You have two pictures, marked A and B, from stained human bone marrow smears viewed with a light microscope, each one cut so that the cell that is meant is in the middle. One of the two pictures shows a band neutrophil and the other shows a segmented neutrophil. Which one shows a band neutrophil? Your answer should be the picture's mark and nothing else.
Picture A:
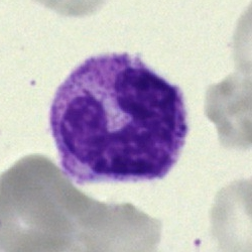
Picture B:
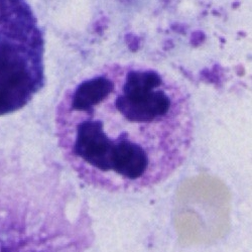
A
